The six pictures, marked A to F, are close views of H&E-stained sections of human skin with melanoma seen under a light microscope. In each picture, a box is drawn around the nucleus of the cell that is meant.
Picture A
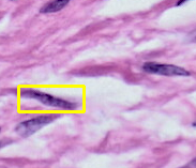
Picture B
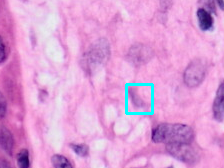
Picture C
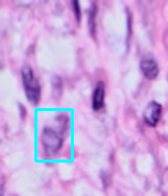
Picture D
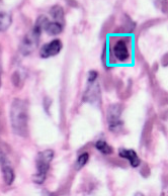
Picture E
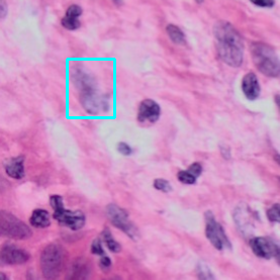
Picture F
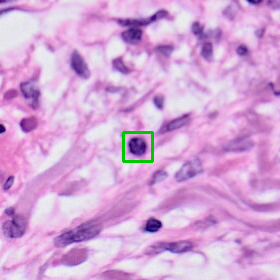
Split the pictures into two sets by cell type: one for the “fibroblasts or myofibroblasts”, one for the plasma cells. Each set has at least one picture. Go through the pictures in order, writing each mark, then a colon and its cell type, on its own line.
A: fibroblast or myofibroblast
B: fibroblast or myofibroblast
C: fibroblast or myofibroblast
D: plasma cell
E: fibroblast or myofibroblast
F: plasma cell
